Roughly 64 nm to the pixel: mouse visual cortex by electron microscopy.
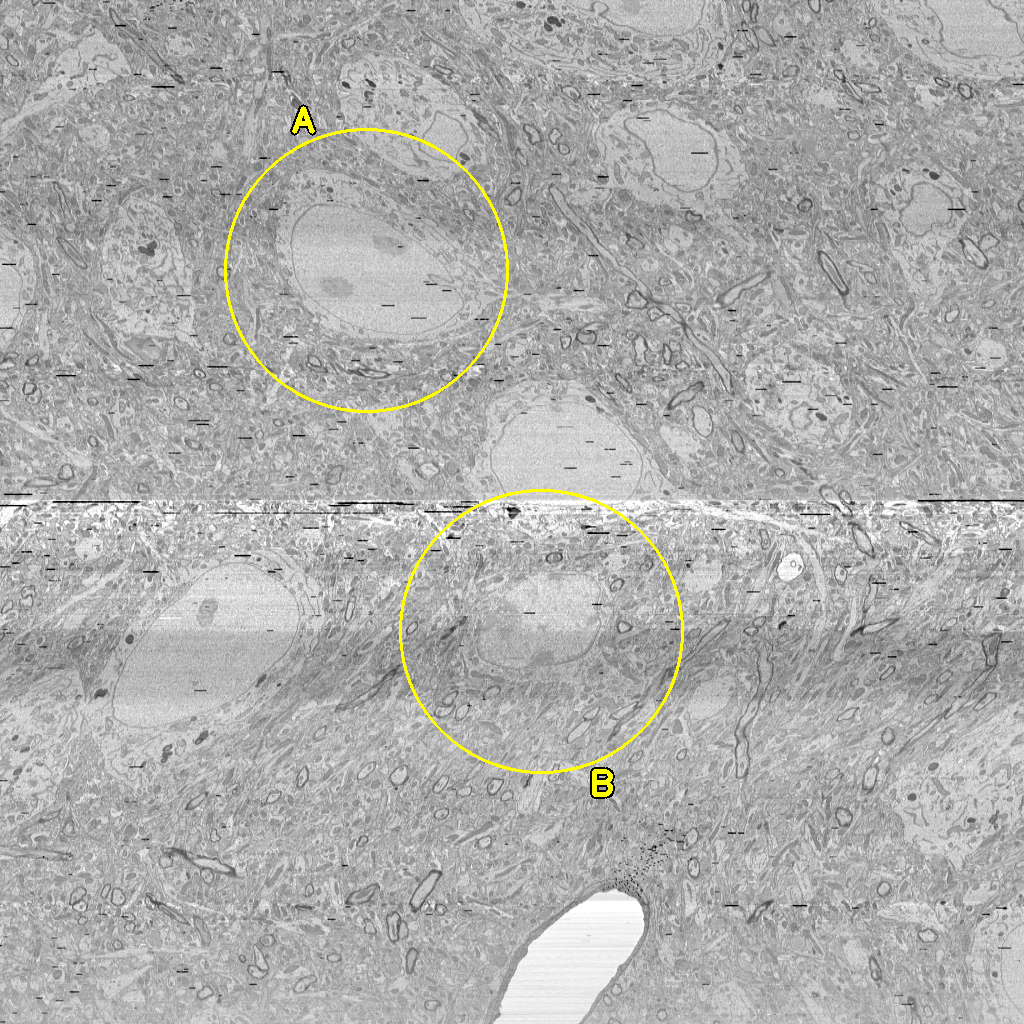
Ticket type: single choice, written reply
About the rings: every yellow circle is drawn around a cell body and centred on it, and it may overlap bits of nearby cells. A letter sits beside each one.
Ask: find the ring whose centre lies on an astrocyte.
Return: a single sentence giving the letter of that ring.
At the centre of the ring marked B lies the cell asked for.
